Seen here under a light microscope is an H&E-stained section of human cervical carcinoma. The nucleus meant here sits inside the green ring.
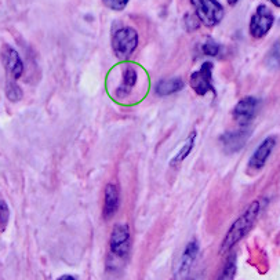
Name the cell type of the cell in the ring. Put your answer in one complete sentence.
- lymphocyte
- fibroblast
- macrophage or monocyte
For the purposes of cell typing, the cell in the ring is categorized as a macrophage or monocyte.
